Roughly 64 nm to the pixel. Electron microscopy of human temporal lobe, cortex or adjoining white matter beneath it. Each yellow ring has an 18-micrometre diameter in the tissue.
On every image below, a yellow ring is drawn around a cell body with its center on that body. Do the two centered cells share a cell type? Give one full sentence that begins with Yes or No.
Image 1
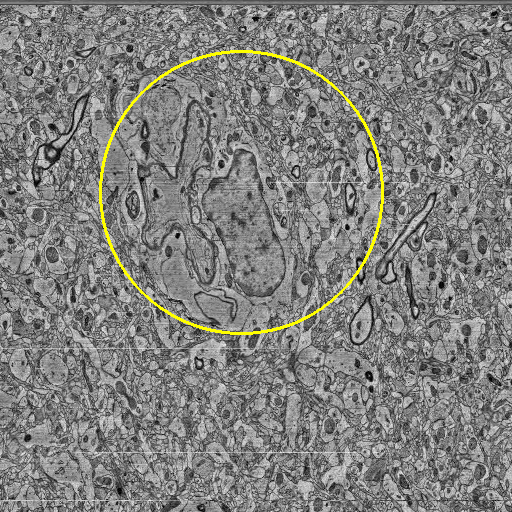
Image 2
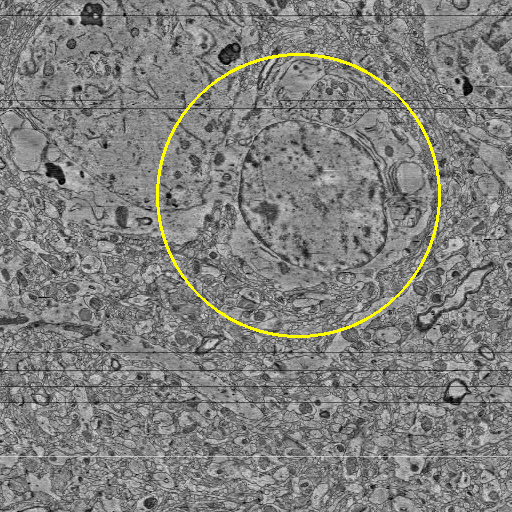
No, the centered cells in the two images are of two separate cell types.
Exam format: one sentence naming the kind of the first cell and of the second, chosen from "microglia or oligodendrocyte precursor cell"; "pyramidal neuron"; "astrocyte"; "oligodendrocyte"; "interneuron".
The first picture's cell is a microglial cell or oligodendrocyte precursor cell, and the second picture's cell is an astrocyte.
